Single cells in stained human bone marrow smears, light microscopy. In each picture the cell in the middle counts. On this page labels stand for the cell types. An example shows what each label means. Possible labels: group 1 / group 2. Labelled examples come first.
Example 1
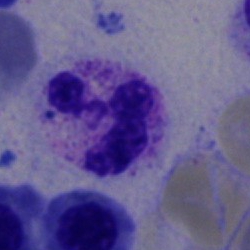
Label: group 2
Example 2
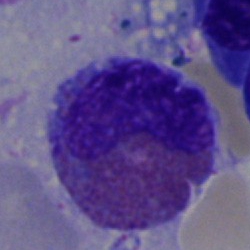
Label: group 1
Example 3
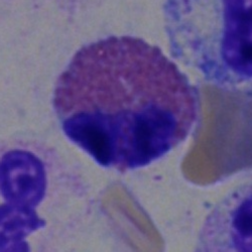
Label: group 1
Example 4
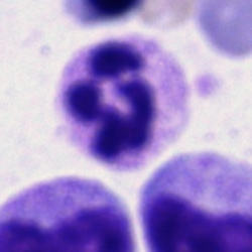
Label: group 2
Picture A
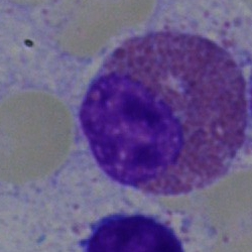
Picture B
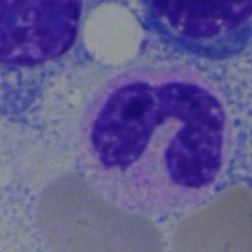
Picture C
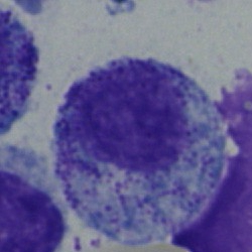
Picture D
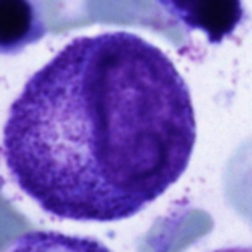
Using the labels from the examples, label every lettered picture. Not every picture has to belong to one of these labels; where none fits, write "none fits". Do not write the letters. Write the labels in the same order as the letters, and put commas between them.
group 1, group 2, none fits, none fits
